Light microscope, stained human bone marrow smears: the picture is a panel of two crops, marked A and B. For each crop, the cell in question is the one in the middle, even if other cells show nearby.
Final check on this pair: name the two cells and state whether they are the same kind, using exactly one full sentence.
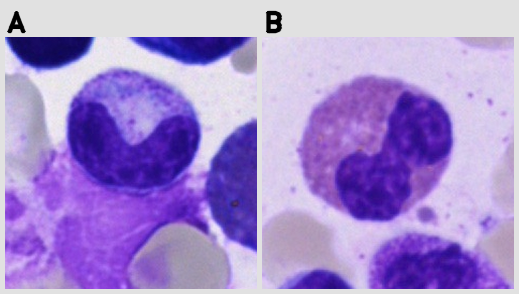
No, in this case crop A shows a band neutrophil, and crop B shows an eosinophil.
